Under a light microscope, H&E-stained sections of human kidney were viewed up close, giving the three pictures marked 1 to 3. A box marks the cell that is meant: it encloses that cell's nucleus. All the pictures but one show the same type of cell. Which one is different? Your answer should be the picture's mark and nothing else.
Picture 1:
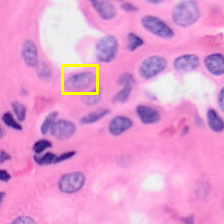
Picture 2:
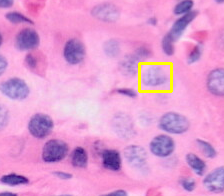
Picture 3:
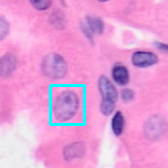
3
